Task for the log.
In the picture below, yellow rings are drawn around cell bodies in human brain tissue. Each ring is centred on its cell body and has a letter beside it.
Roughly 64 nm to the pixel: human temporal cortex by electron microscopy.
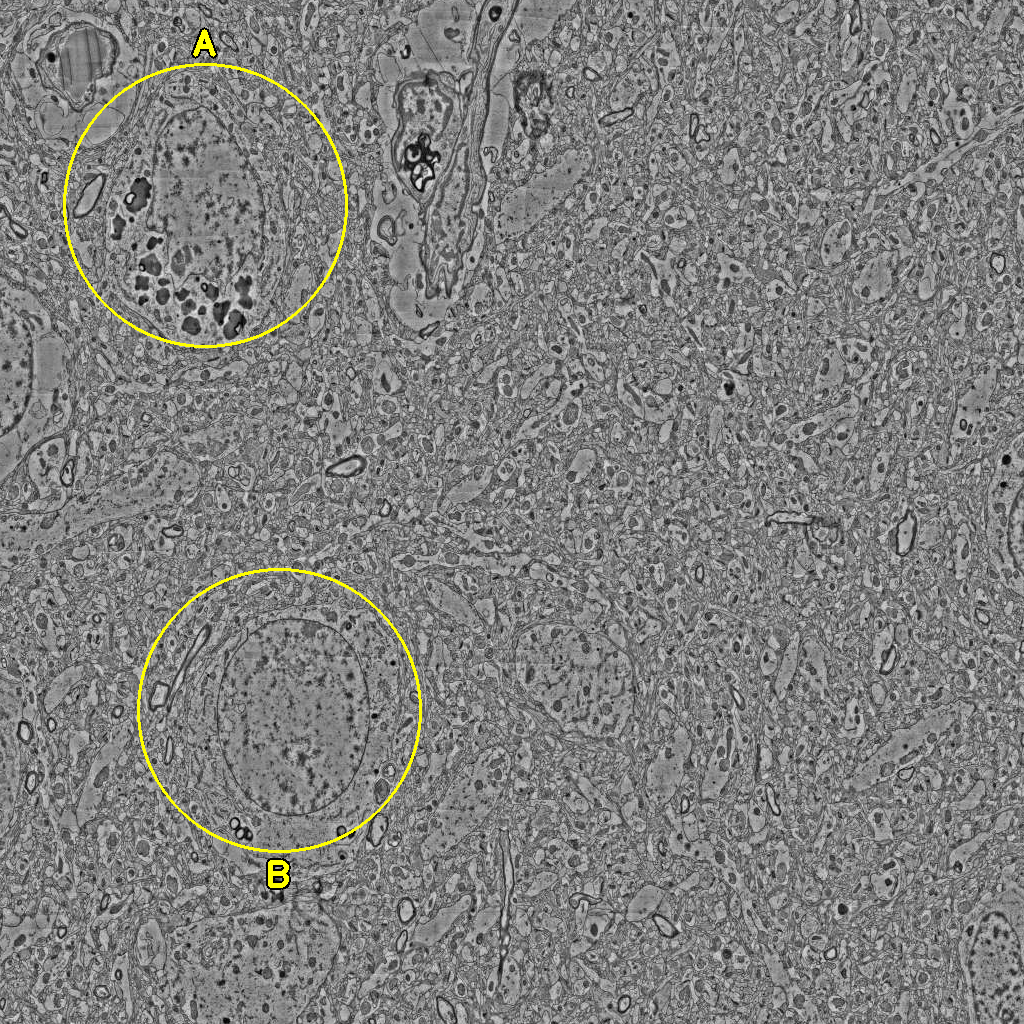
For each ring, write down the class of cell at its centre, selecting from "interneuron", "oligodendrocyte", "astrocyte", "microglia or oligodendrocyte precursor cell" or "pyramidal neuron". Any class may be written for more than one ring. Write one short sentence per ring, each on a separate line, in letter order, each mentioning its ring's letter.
The cell inside ring A, at its centre, is an interneuron.
The cell inside ring B, at its centre, is a pyramidal neuron.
